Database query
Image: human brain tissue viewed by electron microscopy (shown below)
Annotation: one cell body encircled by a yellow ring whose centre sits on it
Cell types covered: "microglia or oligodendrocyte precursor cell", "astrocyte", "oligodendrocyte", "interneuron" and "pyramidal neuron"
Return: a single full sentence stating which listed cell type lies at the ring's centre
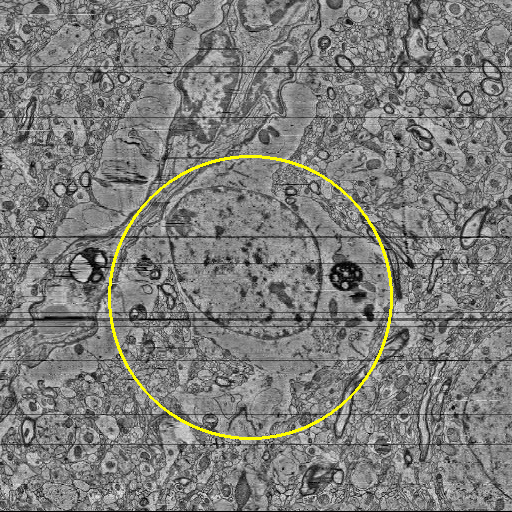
In the image, the cell lying at the ring's centre is an astrocyte.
